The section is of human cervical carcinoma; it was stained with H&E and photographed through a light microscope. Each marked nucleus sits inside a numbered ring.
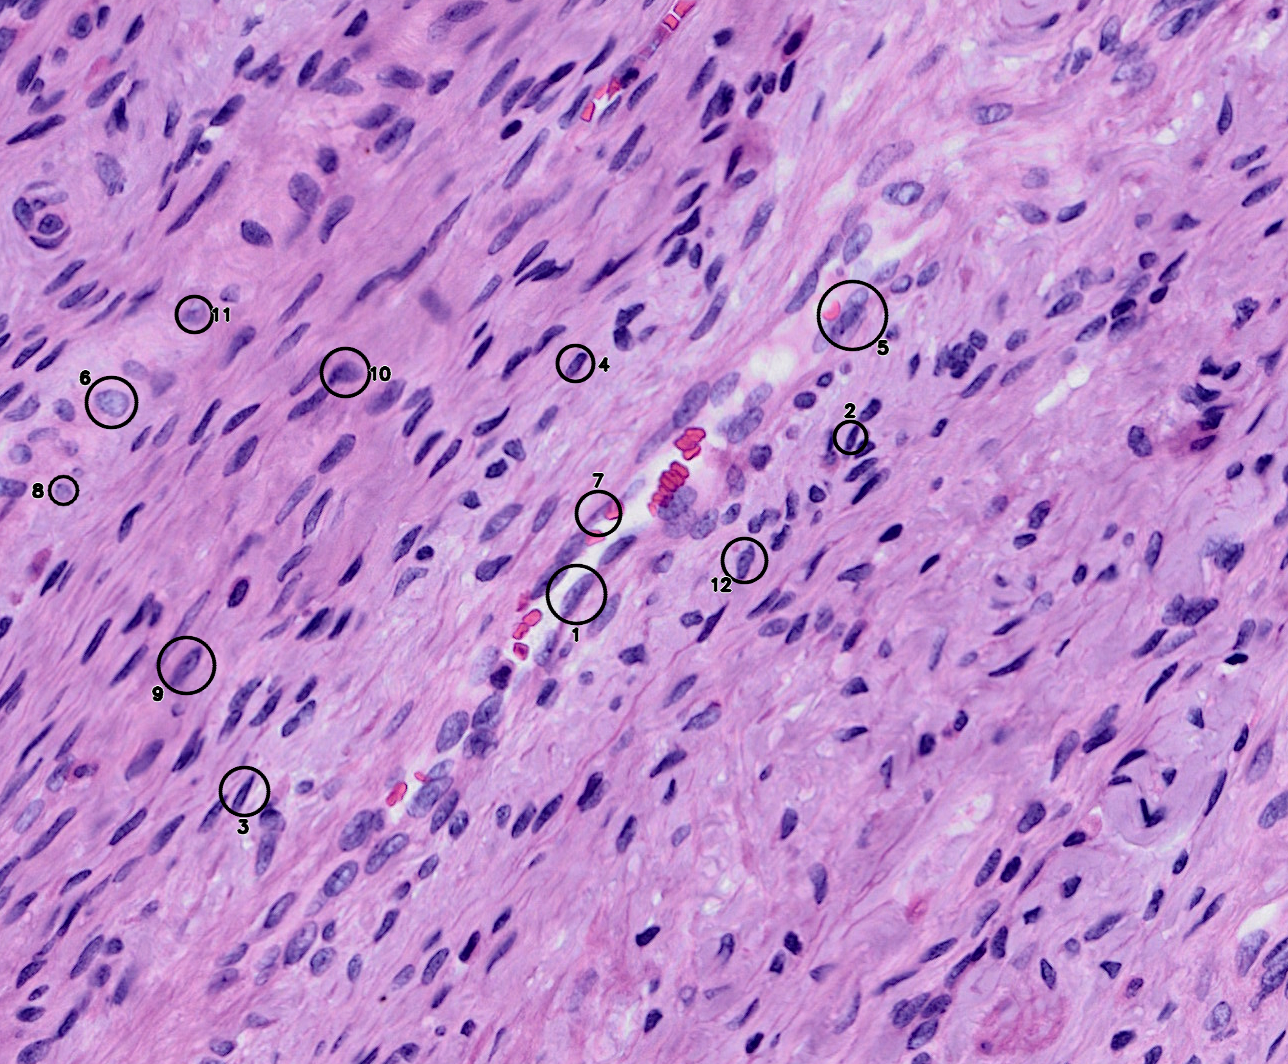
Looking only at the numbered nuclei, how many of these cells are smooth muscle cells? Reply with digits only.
2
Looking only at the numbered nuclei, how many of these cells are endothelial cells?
3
